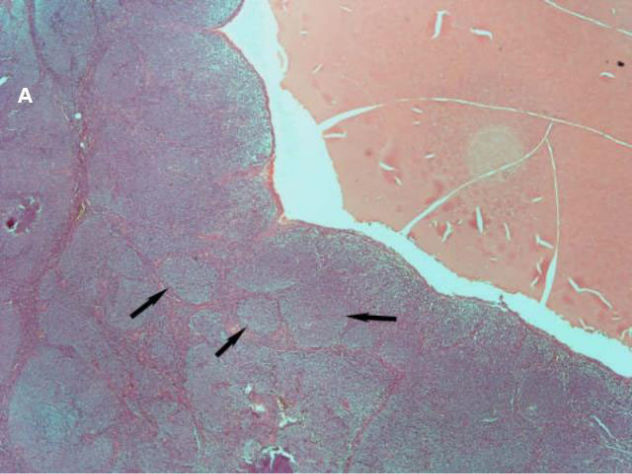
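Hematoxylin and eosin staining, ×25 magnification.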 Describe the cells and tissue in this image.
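At low power this is densely cellular lymphoid-looking tissue stained purple, in which several rounded, vaguely outlined paler nodules can be made out. It lies beside a large pink, homogeneous, cell-free cystic area, separated from it by a clear cleft.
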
